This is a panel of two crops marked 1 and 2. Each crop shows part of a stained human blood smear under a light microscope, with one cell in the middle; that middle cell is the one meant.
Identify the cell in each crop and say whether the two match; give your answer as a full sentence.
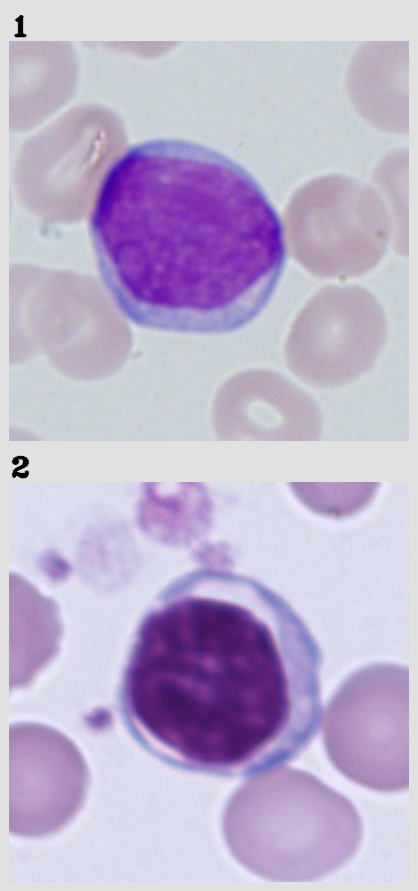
No, that is not right; crop 1 shows a blast and crop 2 shows a lymphocyte.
